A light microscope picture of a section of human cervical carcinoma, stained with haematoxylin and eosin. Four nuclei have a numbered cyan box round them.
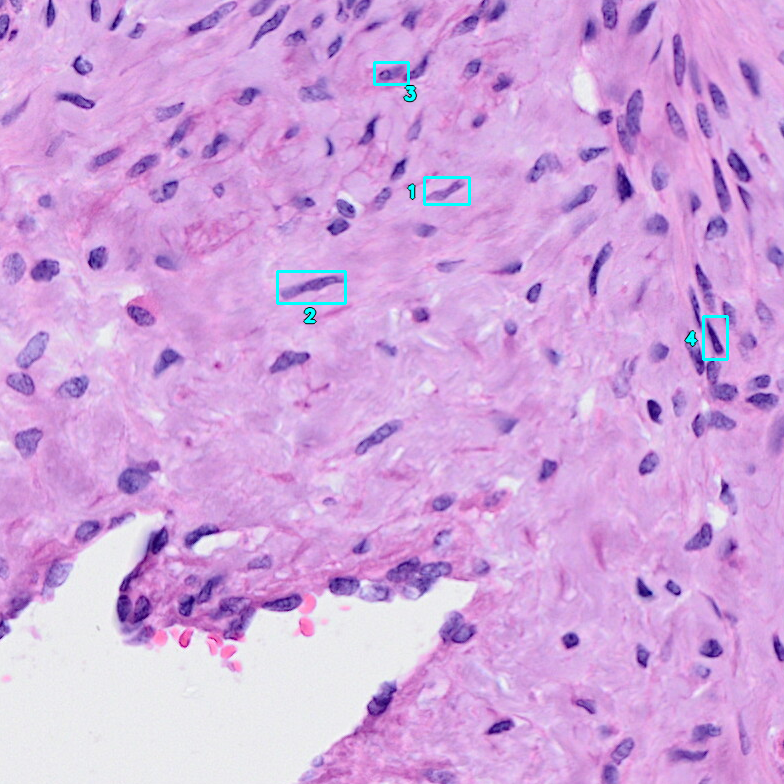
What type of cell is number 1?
fibroblast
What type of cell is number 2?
fibroblast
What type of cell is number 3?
smooth muscle cell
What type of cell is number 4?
fibroblast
